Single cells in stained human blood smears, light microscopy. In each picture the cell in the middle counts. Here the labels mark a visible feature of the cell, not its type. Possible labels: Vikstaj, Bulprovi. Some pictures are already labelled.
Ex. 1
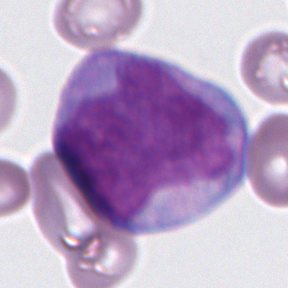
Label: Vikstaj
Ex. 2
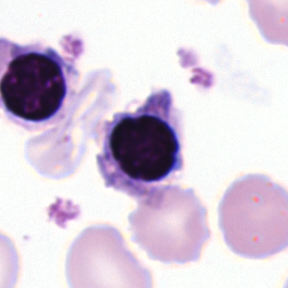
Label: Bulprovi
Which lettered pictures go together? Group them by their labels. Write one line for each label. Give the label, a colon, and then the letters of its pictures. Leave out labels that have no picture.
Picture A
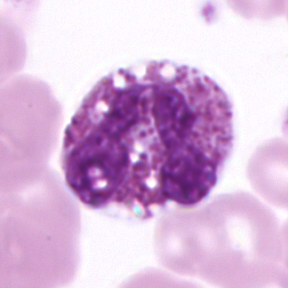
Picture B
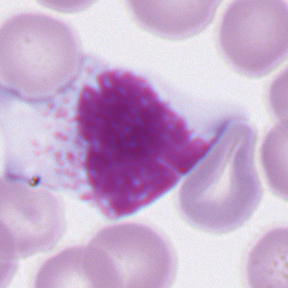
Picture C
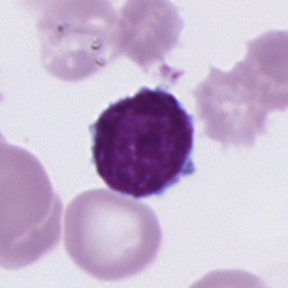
Vikstaj: A
Bulprovi: B, C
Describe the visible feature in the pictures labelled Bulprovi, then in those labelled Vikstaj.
In Bulprovi: ragged outline or projections. In Vikstaj: smooth outline.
